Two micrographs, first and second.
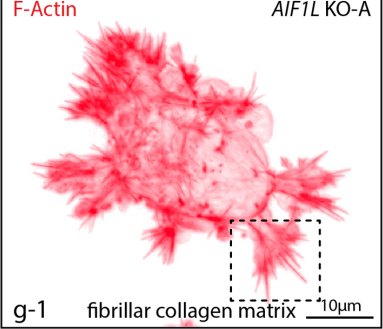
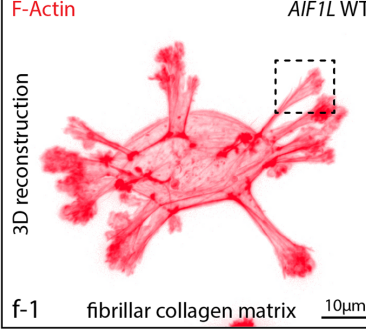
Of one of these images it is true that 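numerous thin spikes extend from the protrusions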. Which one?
The first image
